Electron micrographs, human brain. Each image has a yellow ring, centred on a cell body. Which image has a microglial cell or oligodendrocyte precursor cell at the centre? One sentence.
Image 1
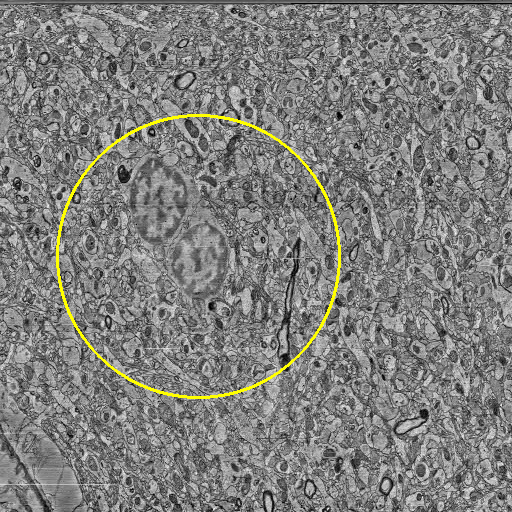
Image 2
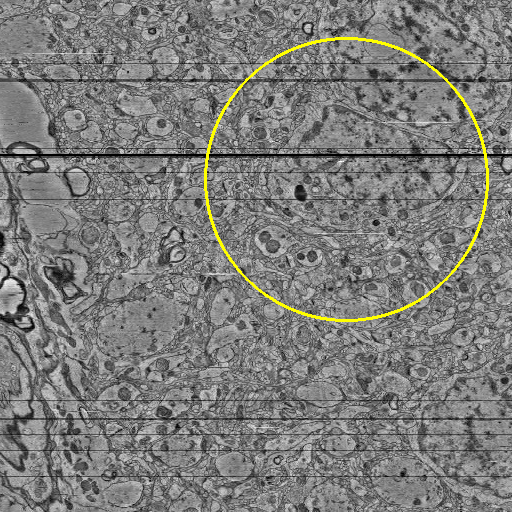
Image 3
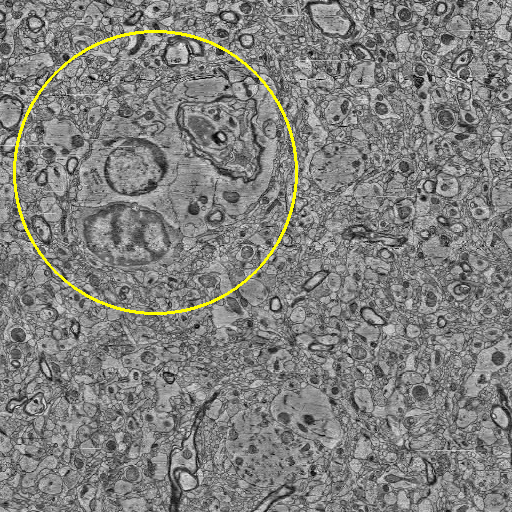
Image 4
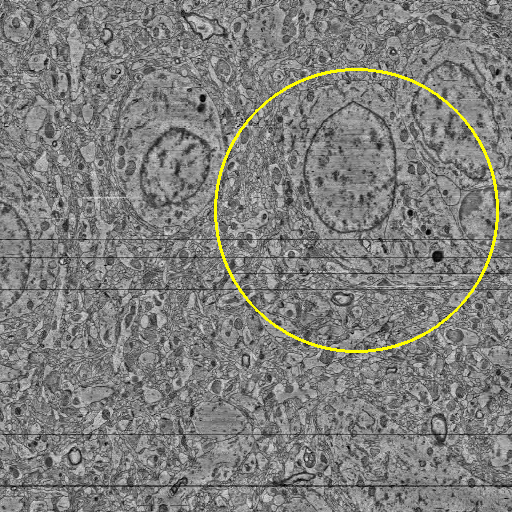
The ring in Image 3 is centred on it.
